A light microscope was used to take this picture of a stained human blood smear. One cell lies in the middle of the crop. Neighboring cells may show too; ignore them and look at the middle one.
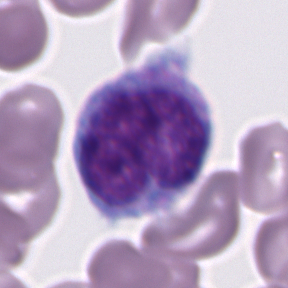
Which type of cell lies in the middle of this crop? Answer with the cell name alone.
monocyte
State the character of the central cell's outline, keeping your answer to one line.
Its surface contour departs from smoothness through ragged edges or outward projections.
